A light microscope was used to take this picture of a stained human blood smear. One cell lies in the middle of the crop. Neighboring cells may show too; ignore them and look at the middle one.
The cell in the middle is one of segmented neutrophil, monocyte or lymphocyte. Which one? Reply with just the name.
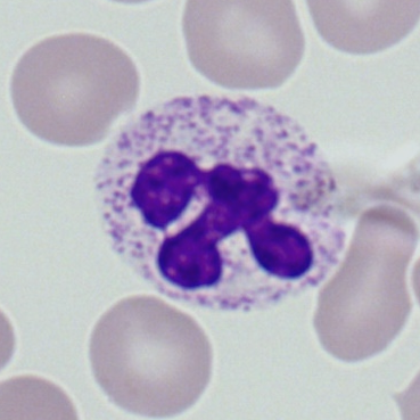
segmented neutrophil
